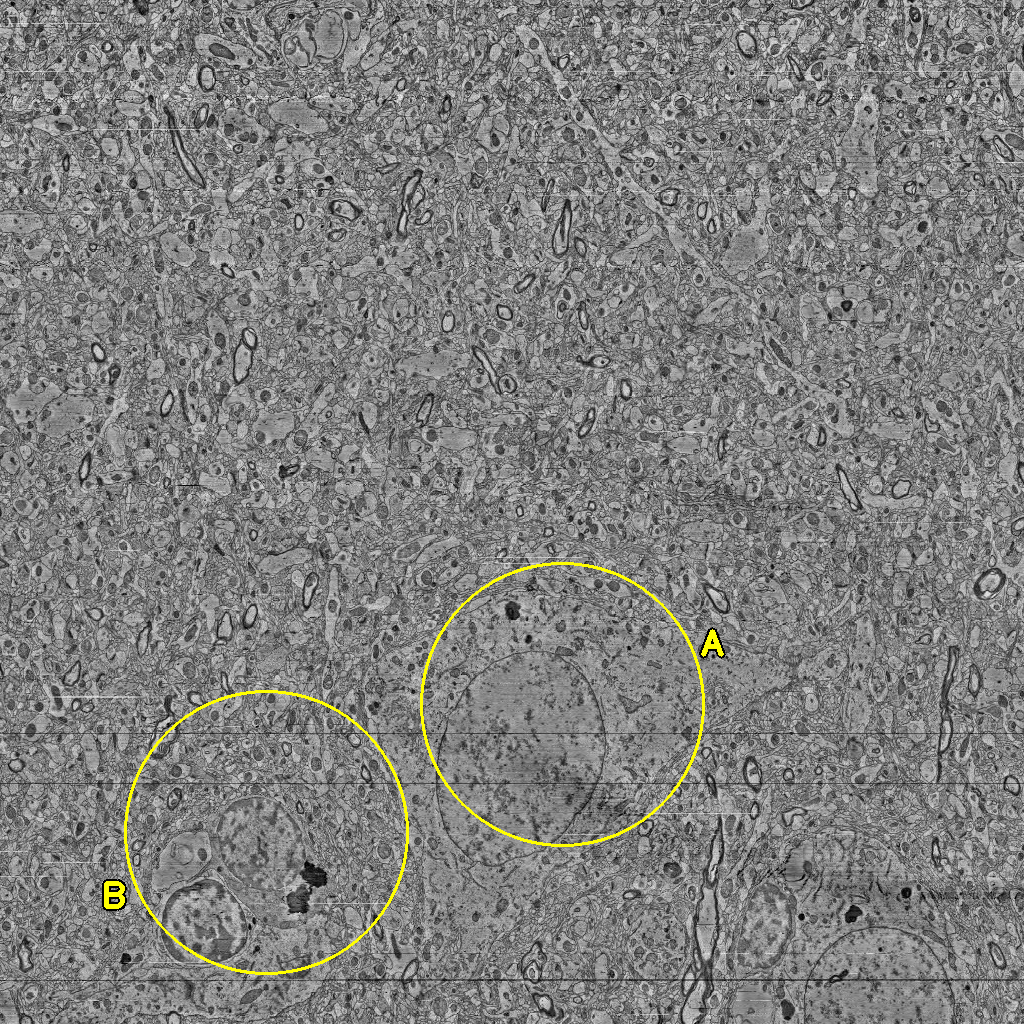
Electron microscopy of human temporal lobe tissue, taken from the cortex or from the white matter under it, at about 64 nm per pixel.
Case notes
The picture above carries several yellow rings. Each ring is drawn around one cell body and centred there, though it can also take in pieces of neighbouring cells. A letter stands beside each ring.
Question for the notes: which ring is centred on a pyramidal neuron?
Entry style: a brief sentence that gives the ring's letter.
Ring A is centred on it.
